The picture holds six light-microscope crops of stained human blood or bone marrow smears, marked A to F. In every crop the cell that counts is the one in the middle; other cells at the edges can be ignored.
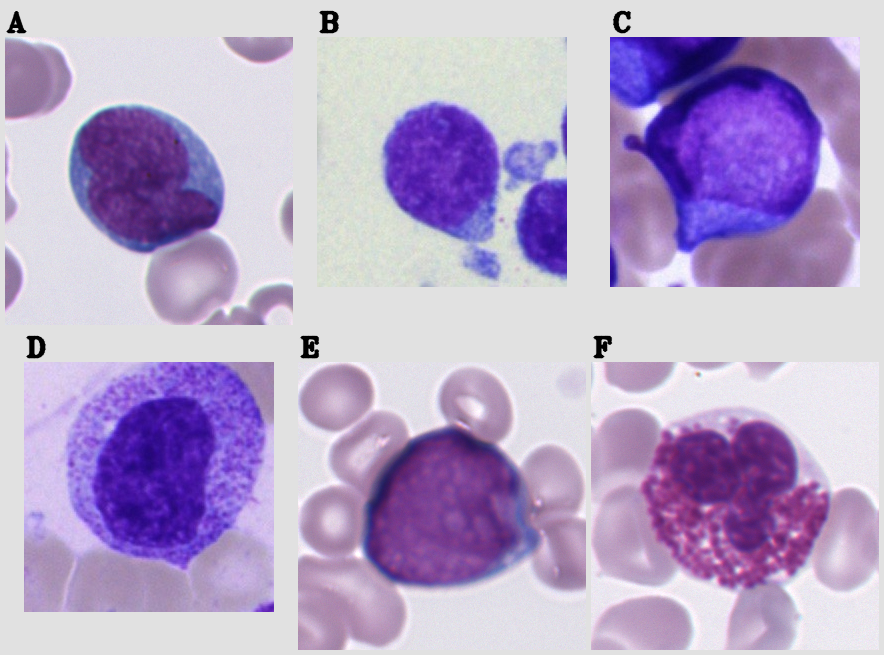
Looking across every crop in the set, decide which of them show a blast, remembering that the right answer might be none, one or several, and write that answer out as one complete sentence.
As for crops A, B, C and E, they show blasts.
